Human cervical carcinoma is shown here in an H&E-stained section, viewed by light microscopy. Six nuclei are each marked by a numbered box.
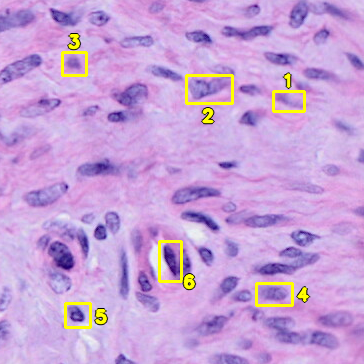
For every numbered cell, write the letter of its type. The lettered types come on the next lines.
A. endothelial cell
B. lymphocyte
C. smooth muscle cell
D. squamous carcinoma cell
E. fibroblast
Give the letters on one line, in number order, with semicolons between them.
C; C; C; C; E; A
